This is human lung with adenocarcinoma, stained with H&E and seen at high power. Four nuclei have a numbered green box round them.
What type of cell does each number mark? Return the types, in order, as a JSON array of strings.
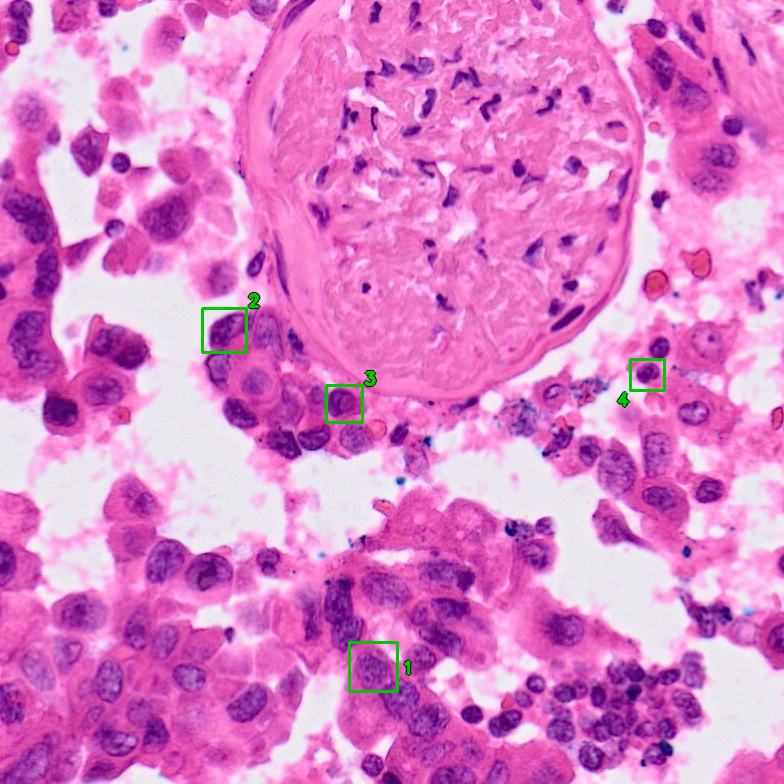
["carcinoma cell", "carcinoma cell", "carcinoma cell", "lymphocyte"]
